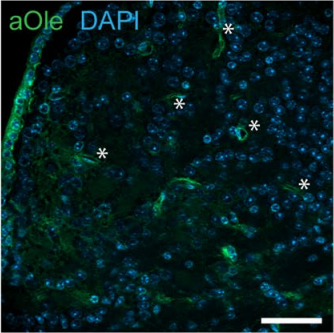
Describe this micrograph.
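The green is strongest along the curved tissue surface at the left and in scattered thin tubular profiles within the tissue, which are blood vessels. These vessel profiles are short and elongated, lying between the nuclei. Elsewhere the green is faint and diffuse around the cells.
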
